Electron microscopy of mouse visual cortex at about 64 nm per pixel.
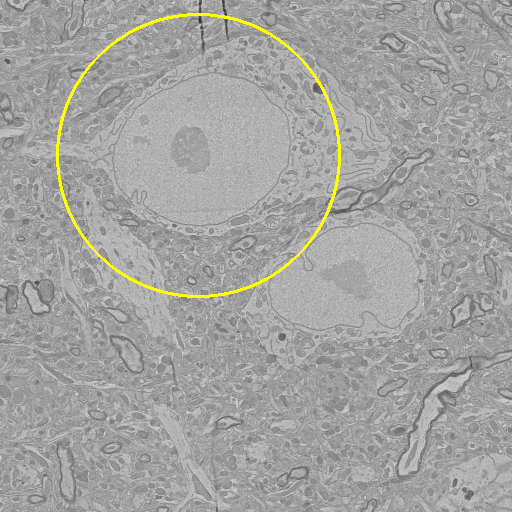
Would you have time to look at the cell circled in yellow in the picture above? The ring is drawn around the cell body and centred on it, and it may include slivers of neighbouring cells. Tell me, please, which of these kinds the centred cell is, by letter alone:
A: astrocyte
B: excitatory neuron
B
